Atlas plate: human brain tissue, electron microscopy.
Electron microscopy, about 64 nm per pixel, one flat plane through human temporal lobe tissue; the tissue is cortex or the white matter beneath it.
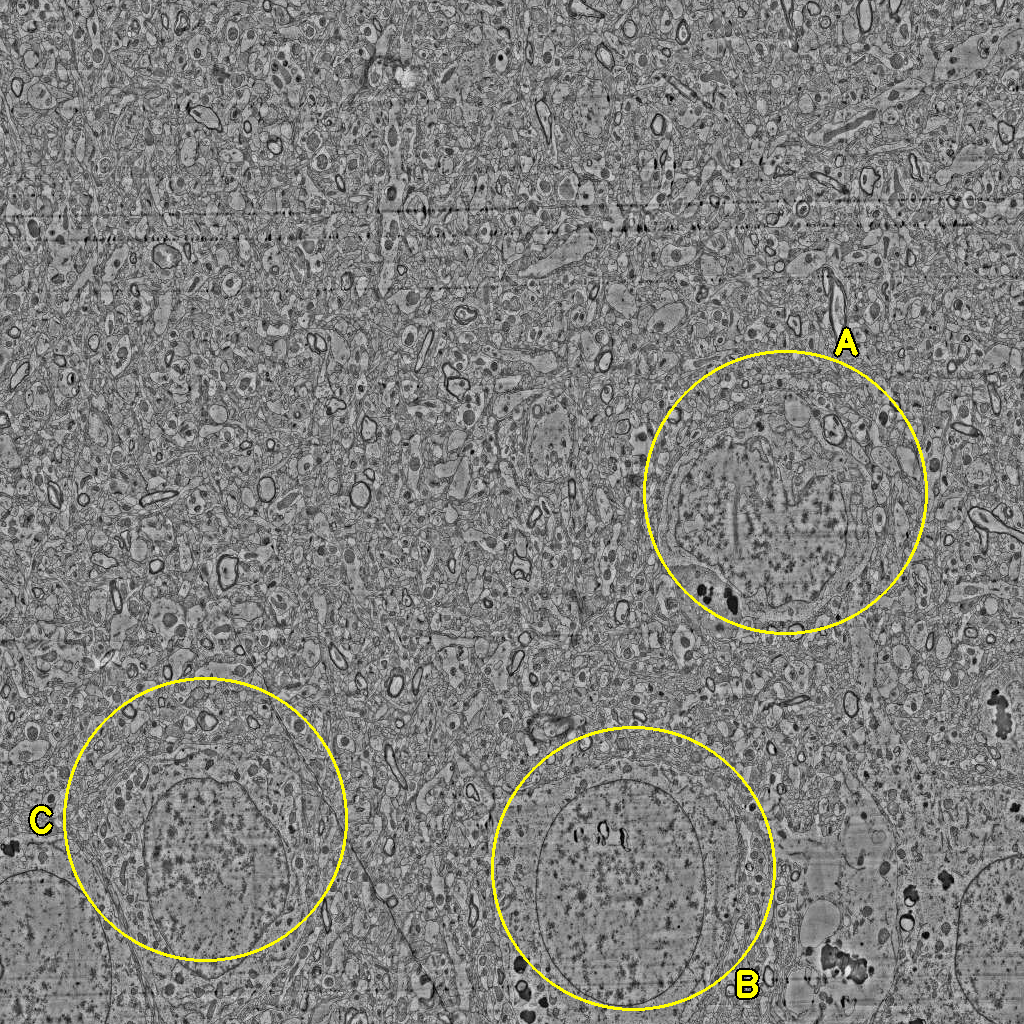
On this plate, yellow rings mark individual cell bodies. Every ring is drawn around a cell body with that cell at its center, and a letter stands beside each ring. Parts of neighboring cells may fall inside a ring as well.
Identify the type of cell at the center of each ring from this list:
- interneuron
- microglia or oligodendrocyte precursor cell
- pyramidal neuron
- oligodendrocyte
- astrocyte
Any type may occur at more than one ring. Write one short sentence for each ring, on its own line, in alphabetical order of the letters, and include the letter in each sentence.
At the center of ring A lies an interneuron.
At the center of ring B lies a pyramidal neuron.
At the center of ring C lies an interneuron.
